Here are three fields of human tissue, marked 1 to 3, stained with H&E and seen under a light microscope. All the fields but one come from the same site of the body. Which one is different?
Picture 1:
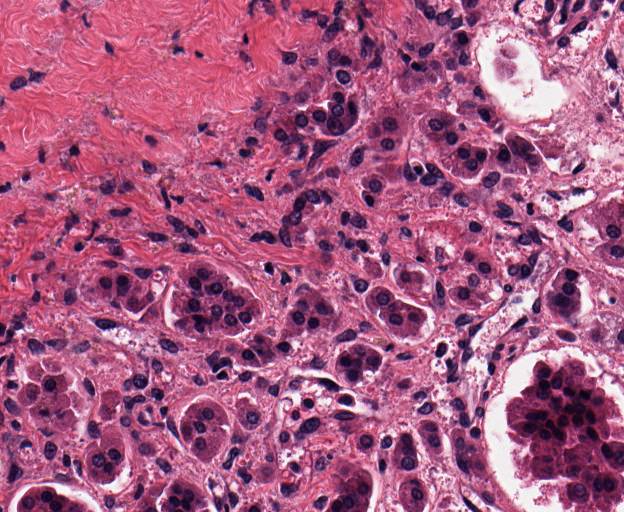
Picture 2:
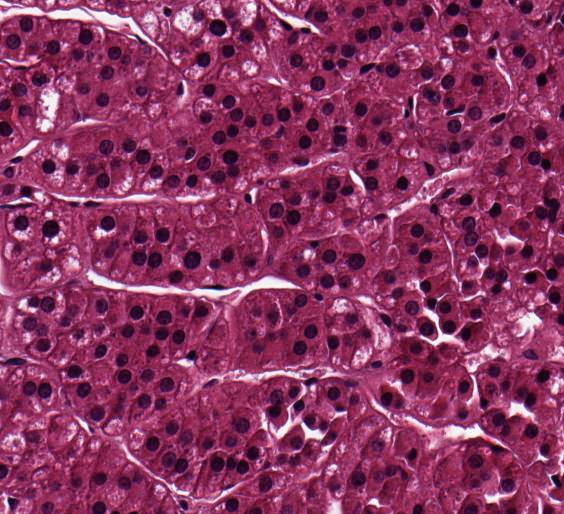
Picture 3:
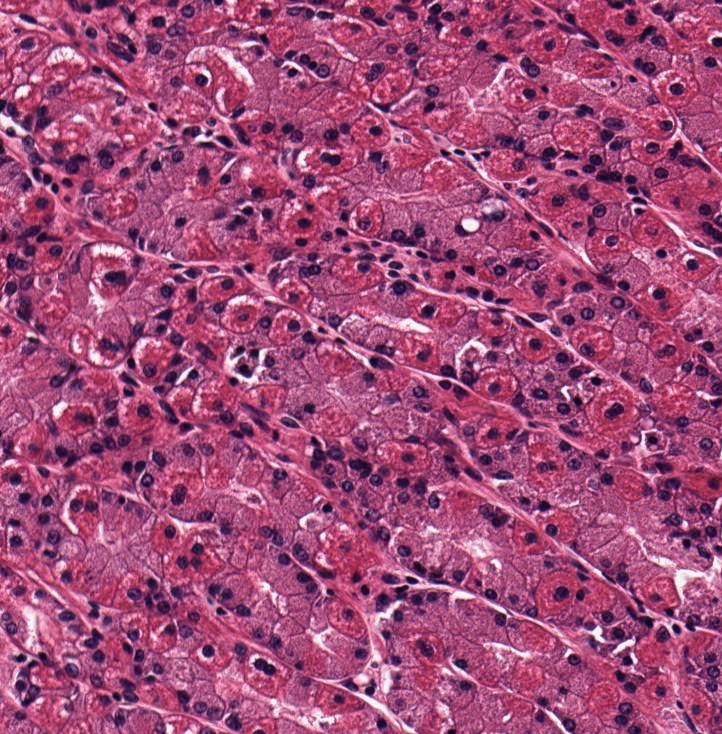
3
